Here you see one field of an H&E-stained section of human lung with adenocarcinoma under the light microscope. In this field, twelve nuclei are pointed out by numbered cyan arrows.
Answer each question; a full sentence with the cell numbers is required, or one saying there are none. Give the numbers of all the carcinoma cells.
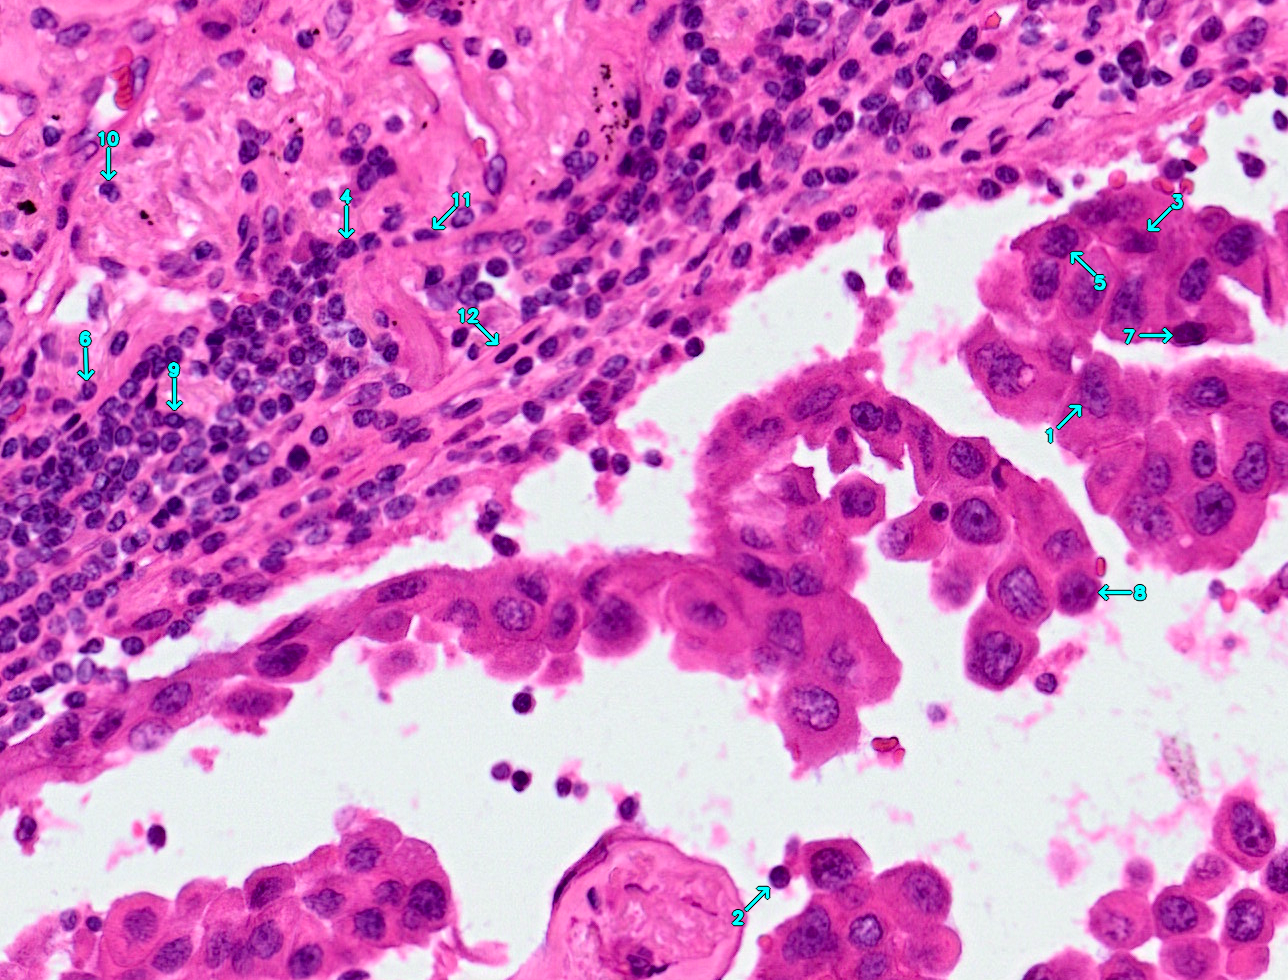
The cells shown with numbers 1, 3, 5, 7 and 8 are carcinoma cells.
